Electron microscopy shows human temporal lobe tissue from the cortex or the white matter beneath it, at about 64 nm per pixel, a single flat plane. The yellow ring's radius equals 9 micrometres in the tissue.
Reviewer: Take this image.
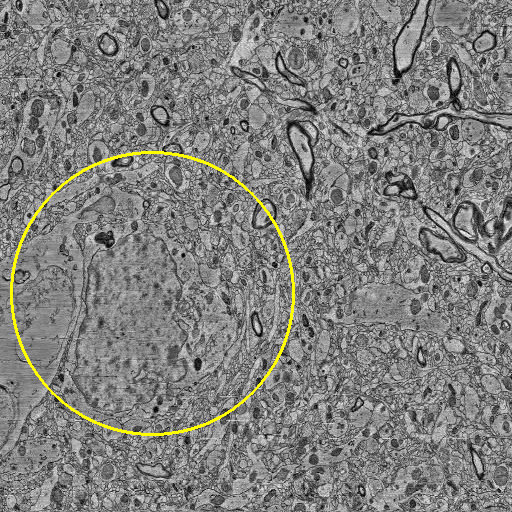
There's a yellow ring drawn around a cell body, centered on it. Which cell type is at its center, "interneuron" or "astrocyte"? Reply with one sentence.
At the center of the yellow ring is an interneuron.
